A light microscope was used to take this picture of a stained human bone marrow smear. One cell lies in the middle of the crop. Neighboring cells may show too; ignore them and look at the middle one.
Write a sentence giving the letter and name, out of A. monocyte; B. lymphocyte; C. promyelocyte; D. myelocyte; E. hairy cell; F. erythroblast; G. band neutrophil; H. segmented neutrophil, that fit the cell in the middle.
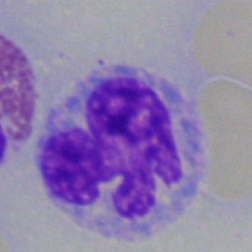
Option A is the keyed answer: the cell in the middle is a monocyte.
